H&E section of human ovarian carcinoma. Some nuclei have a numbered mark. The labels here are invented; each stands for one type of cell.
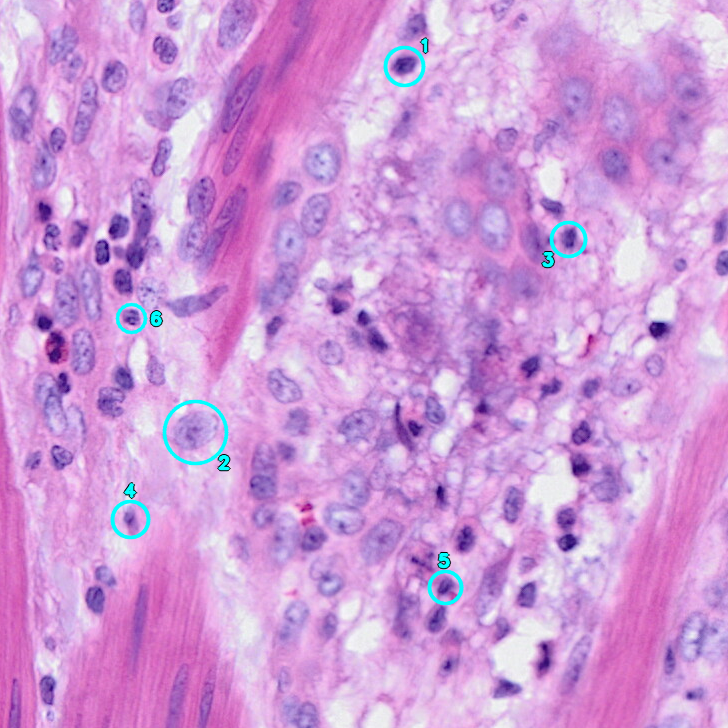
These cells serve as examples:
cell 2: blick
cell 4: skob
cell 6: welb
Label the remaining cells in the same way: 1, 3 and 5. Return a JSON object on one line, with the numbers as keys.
{"1": "welb", "3": "welb", "5": "welb"}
